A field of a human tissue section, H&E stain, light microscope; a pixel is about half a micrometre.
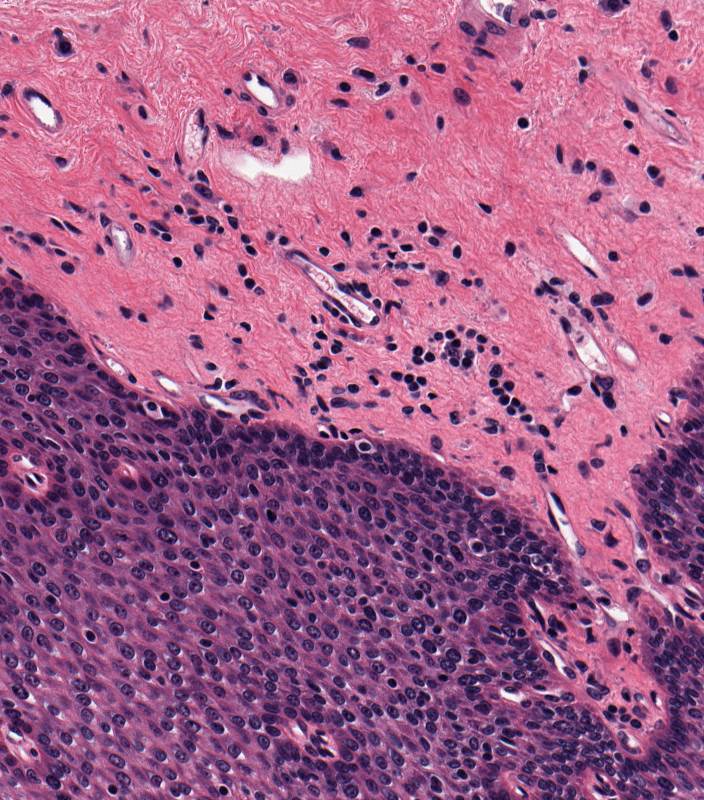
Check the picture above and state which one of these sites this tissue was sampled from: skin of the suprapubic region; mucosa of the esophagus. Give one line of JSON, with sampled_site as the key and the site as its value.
{"sampled_site": "mucosa of the esophagus"}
